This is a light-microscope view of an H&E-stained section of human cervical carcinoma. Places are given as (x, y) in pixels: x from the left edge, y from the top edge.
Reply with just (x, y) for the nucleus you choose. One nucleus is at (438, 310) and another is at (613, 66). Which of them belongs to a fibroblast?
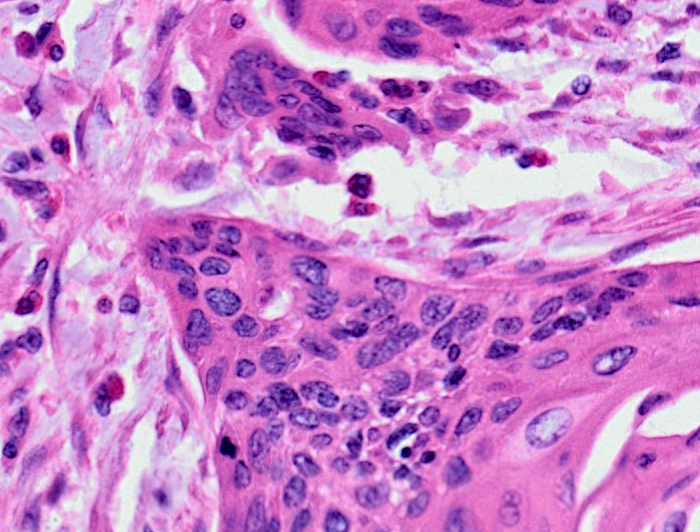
(613, 66)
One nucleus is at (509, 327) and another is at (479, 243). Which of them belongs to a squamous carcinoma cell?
(509, 327)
